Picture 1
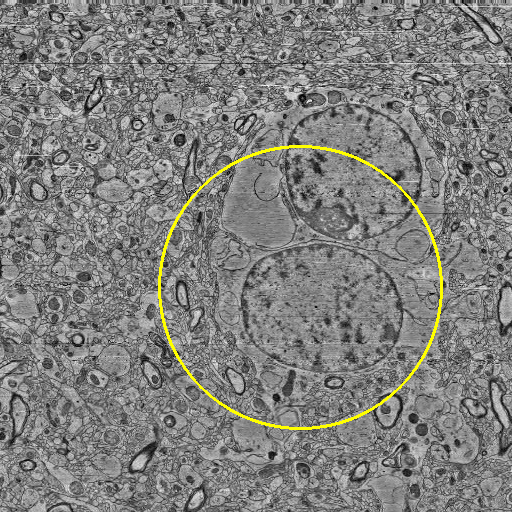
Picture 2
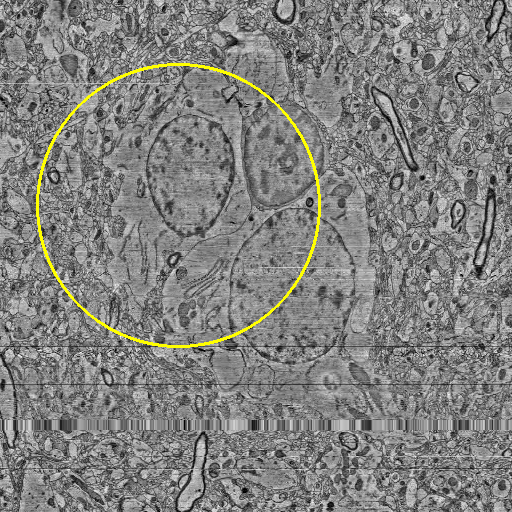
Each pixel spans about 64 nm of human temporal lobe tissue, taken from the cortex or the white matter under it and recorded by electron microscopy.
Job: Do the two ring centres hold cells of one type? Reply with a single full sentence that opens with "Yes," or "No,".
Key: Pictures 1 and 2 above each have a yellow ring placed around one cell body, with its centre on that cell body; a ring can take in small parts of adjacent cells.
Yes, the cells at the two ring centres are of one single type.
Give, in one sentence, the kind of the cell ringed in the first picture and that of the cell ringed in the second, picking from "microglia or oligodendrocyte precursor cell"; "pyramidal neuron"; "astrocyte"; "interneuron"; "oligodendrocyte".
Both pictures show an astrocyte at the centre of the ring.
